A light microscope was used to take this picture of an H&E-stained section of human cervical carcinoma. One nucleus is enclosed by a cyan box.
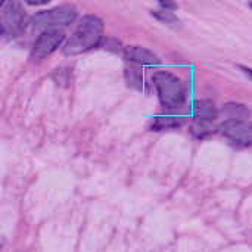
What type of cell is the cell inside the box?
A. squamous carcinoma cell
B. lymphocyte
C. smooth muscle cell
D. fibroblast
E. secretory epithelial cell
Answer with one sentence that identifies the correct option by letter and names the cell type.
Answer with option E; the cell inside the box is a secretory epithelial cell.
